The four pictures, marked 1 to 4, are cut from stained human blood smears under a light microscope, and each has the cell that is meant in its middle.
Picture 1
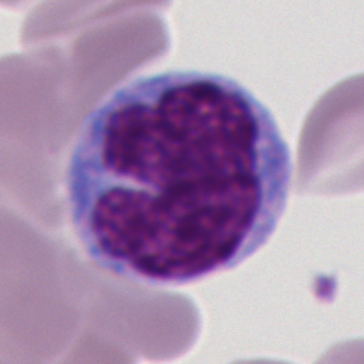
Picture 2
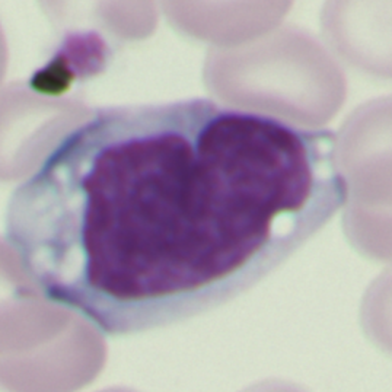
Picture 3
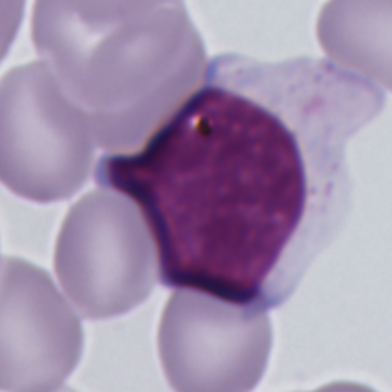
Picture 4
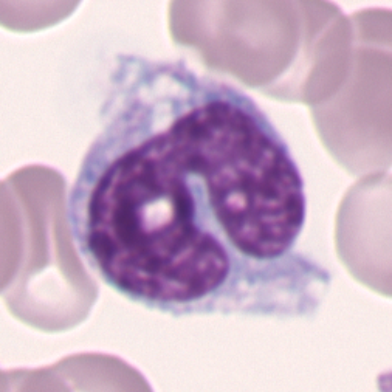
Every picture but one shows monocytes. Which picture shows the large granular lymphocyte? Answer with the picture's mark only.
3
